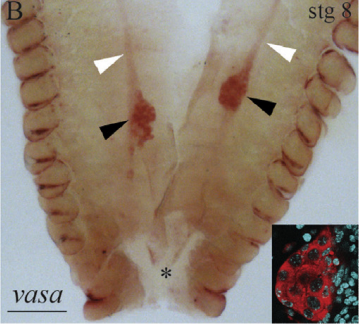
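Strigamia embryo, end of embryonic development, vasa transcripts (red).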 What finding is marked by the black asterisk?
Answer: artefactual tear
